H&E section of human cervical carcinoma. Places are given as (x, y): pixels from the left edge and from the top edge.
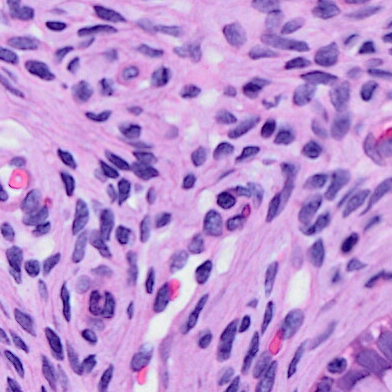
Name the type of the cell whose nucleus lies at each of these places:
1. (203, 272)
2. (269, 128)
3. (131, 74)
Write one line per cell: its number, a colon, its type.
1: endothelial cell
2: lymphocyte
3: endothelial cell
